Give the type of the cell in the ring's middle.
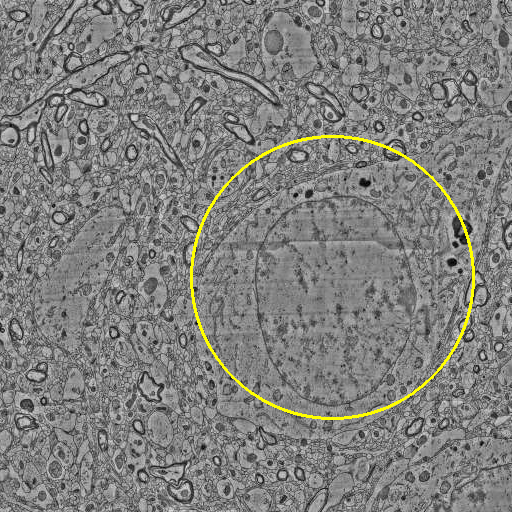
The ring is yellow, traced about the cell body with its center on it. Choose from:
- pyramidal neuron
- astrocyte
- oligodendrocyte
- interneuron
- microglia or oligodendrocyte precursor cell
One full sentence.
Here, a pyramidal neuron is the cell lying at the center of the yellow ring.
